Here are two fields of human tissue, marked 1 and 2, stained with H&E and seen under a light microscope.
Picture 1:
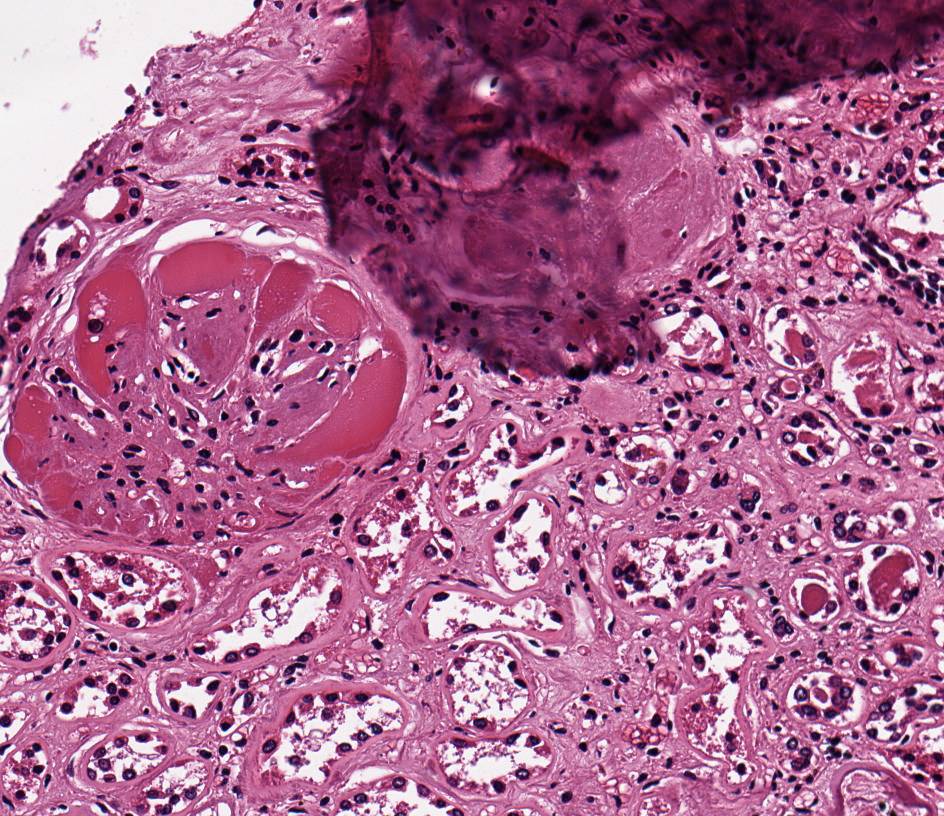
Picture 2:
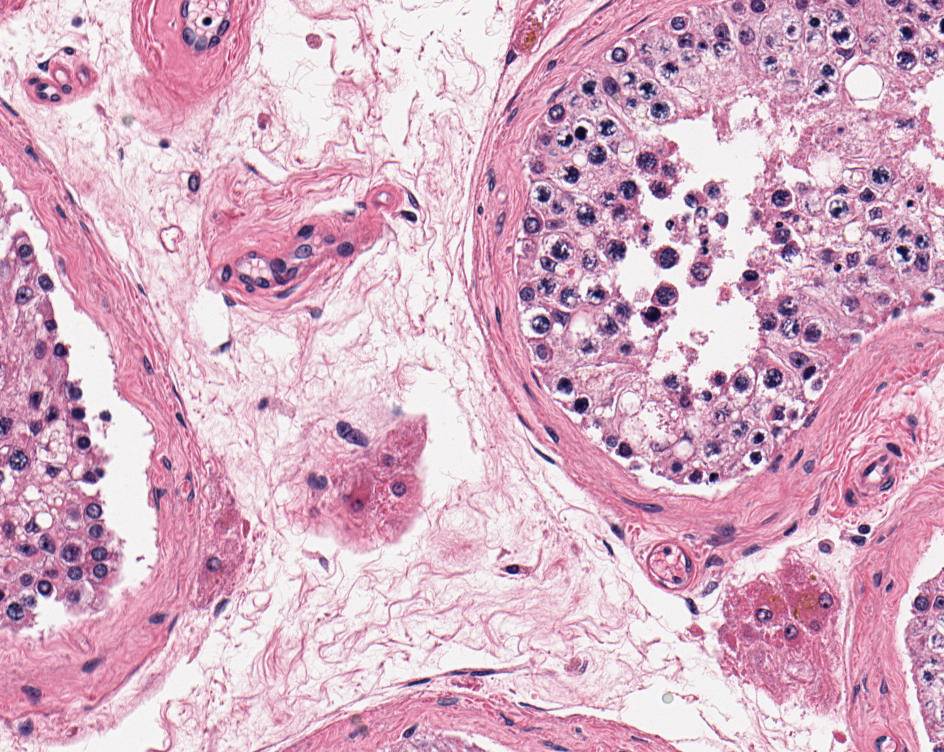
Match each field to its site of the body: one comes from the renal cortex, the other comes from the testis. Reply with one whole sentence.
Picture 1 comes from the renal cortex; picture 2 comes from the testis.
